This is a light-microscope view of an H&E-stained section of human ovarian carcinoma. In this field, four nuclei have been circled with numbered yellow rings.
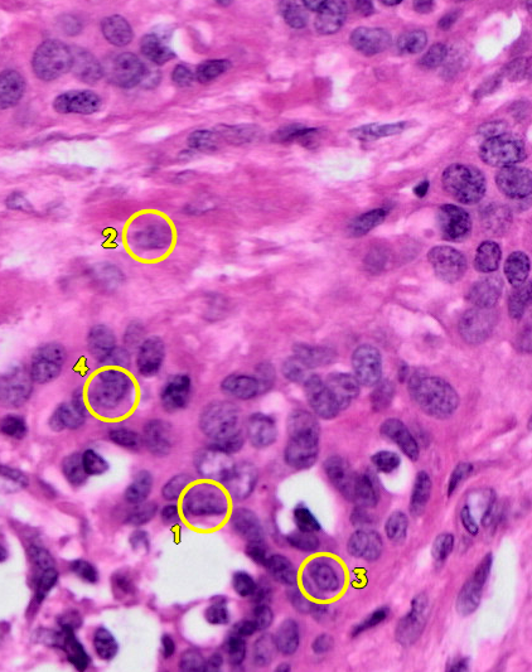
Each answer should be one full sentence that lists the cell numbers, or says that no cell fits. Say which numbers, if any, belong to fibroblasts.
The numbered cells include exactly one that is a fibroblast, which is cell 2.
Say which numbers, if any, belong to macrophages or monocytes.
None of the numbered cells are macrophages or monocytes.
